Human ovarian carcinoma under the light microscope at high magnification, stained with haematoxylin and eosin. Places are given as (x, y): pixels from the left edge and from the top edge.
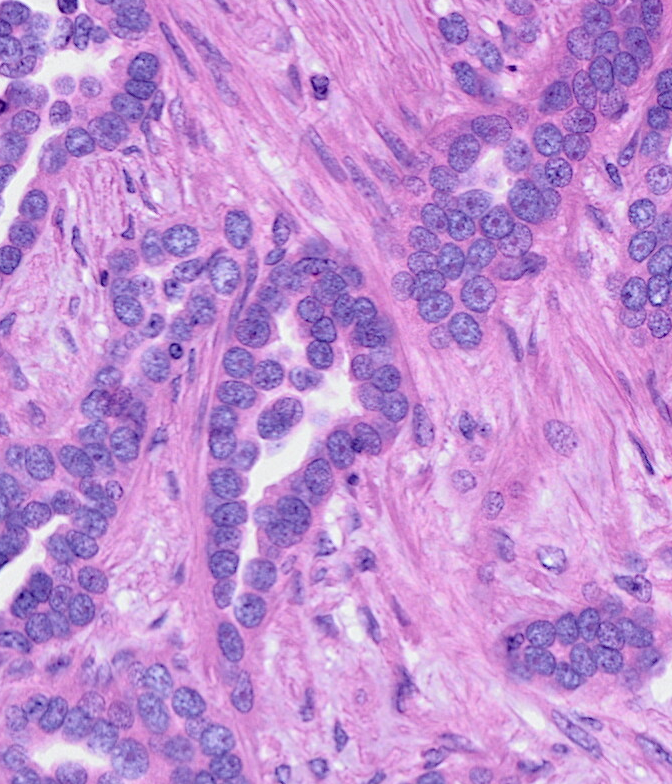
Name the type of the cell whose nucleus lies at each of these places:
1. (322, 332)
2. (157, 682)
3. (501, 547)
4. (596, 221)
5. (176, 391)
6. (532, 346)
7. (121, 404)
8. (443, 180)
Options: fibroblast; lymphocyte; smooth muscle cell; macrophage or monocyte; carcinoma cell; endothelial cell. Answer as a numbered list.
1. carcinoma cell
2. carcinoma cell
3. fibroblast
4. fibroblast
5. fibroblast
6. fibroblast
7. carcinoma cell
8. carcinoma cell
